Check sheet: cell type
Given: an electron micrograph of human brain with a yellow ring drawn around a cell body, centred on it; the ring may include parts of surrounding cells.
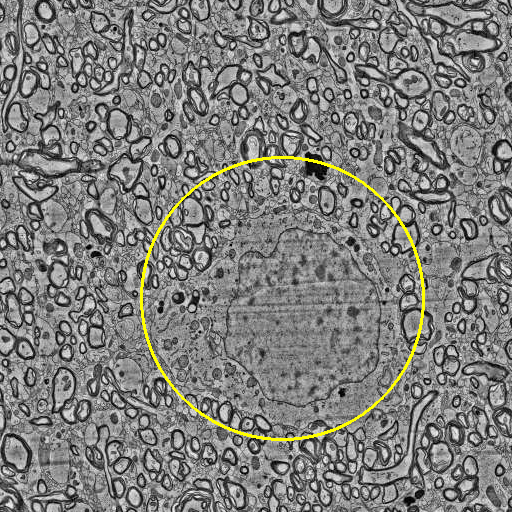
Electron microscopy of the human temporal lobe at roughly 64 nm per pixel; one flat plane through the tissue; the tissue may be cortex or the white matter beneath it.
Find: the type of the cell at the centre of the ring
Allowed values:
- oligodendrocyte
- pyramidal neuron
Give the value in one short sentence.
Here the ringed cell is a pyramidal neuron.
